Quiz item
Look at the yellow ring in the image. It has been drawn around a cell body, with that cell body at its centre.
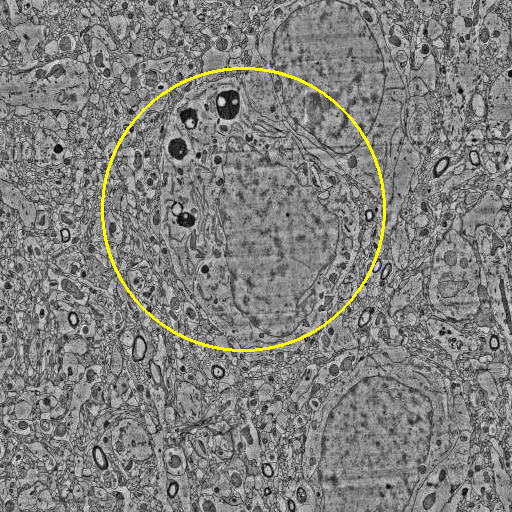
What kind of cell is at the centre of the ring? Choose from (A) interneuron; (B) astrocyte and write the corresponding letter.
A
